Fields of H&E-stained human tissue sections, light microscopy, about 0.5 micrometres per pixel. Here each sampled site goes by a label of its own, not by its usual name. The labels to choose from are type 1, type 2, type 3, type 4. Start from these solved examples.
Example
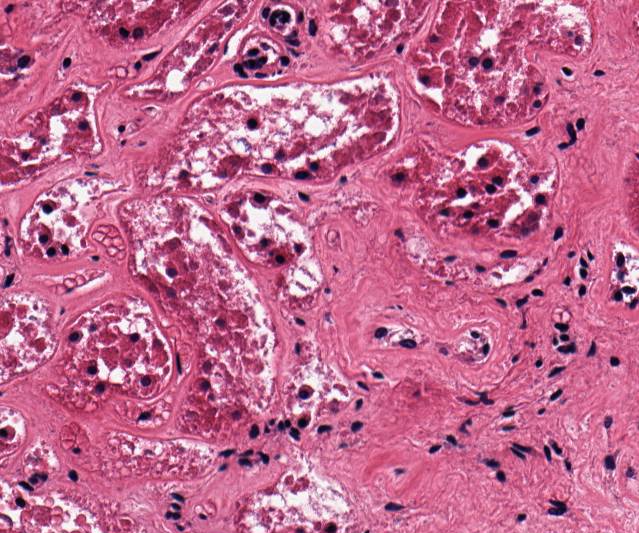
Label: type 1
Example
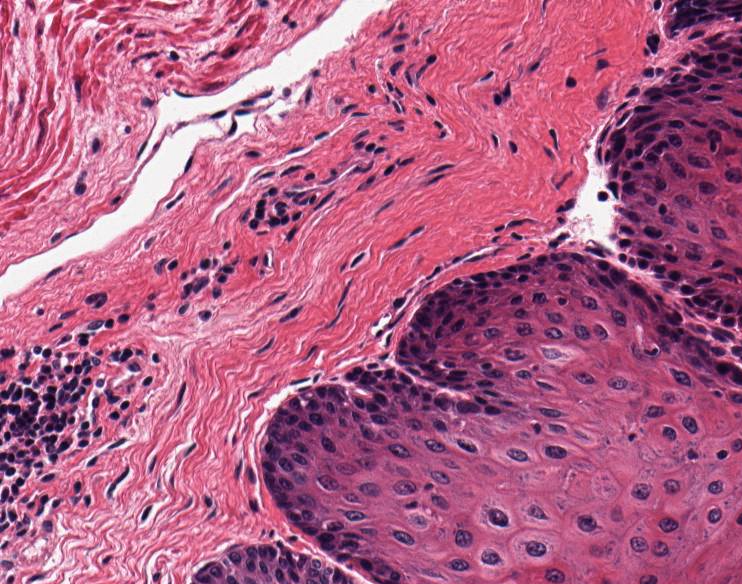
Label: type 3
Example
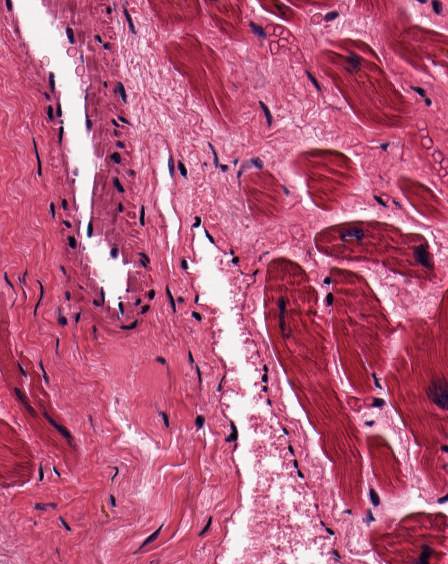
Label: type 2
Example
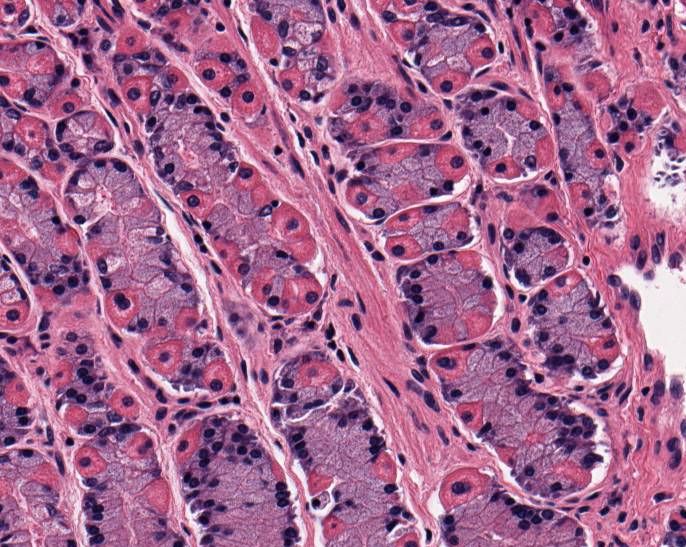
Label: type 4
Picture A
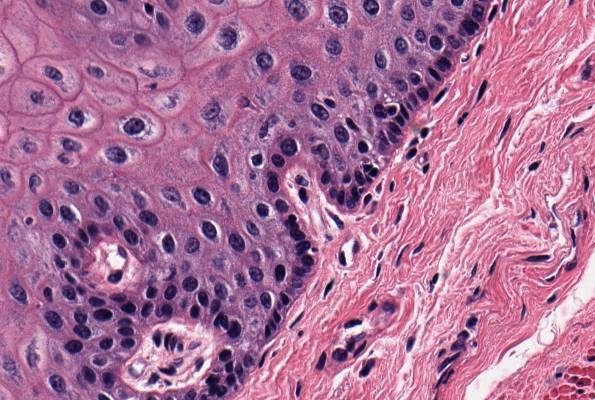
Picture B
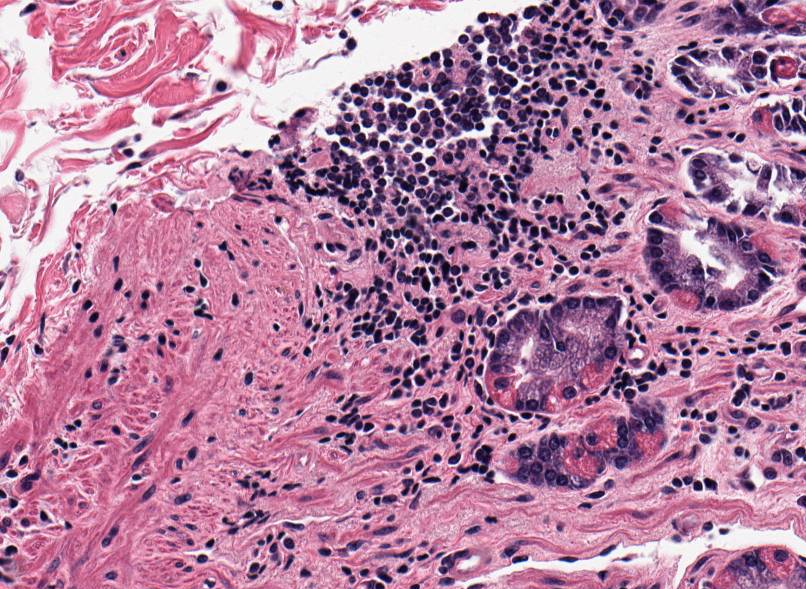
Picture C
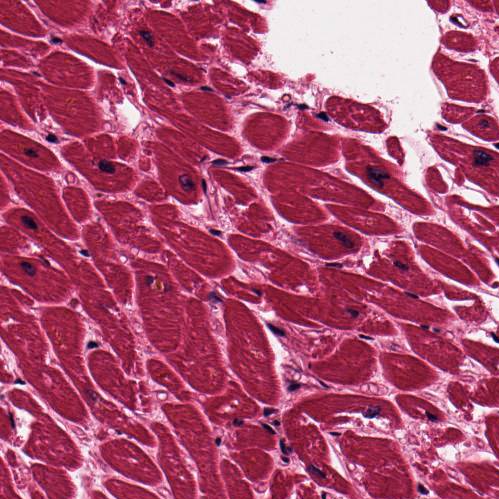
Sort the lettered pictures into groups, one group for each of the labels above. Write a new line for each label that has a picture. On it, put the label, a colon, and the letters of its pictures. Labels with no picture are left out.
type 2: C
type 3: A
type 4: B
